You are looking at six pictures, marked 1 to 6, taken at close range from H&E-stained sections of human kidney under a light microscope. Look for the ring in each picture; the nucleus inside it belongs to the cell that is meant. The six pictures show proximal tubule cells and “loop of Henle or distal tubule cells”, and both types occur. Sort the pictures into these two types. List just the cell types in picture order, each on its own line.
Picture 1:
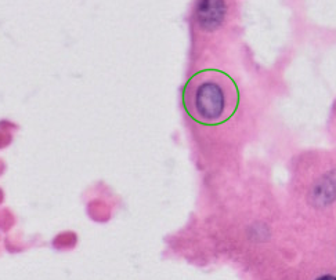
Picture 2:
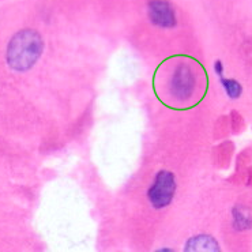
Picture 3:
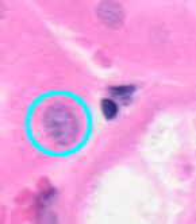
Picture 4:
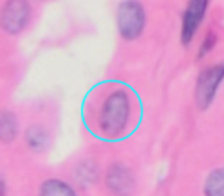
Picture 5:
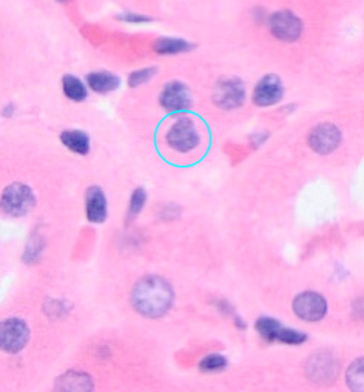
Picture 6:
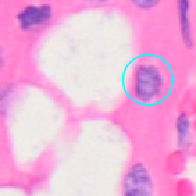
proximal tubule cell
proximal tubule cell
proximal tubule cell
loop of Henle or distal tubule cell
loop of Henle or distal tubule cell
loop of Henle or distal tubule cell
